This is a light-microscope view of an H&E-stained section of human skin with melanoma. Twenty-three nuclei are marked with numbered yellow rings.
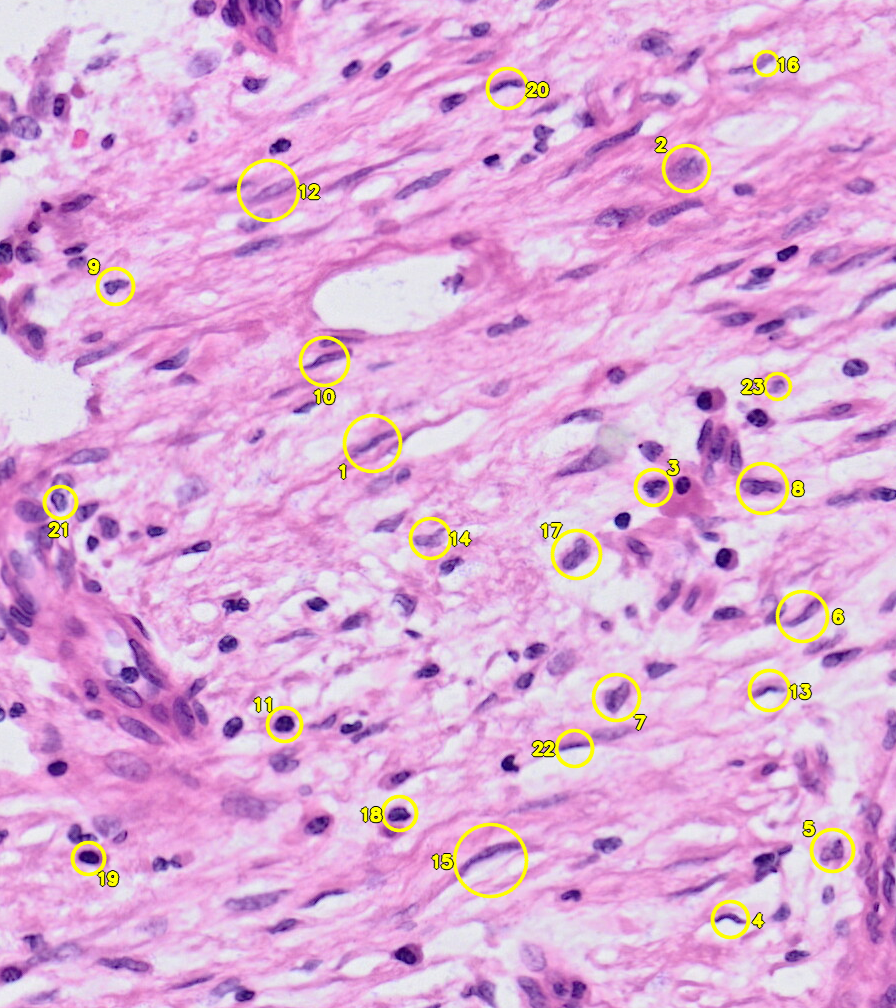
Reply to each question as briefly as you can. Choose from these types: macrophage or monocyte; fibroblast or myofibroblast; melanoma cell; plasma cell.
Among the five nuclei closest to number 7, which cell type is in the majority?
fibroblast or myofibroblast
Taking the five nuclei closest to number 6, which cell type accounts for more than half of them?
macrophage or monocyte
